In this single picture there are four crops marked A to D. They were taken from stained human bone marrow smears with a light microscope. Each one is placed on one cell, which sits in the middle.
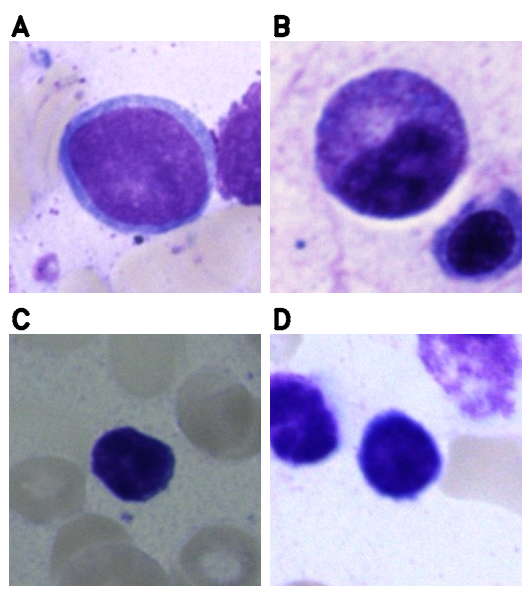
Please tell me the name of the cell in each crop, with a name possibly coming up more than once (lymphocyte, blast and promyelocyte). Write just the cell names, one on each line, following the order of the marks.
blast
promyelocyte
lymphocyte
lymphocyte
